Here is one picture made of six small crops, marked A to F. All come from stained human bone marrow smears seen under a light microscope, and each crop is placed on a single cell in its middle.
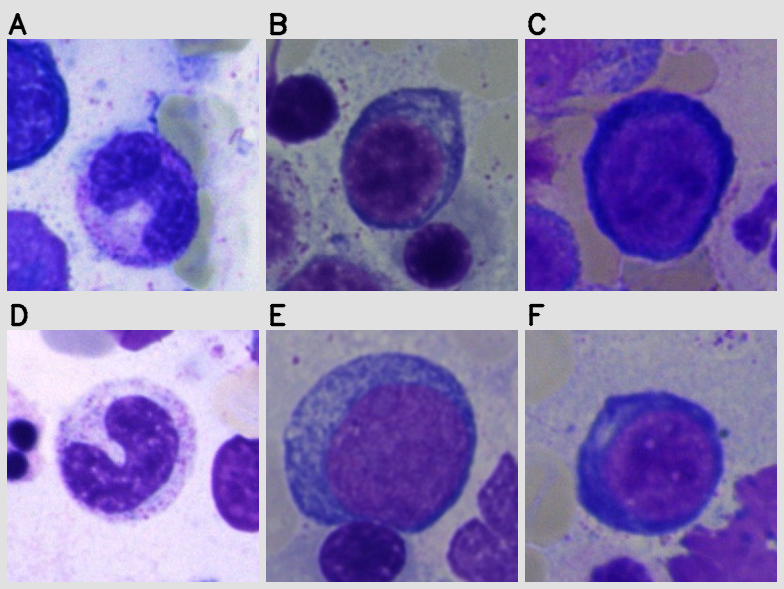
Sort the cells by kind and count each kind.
proerythroblast: 4
band neutrophil: 2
